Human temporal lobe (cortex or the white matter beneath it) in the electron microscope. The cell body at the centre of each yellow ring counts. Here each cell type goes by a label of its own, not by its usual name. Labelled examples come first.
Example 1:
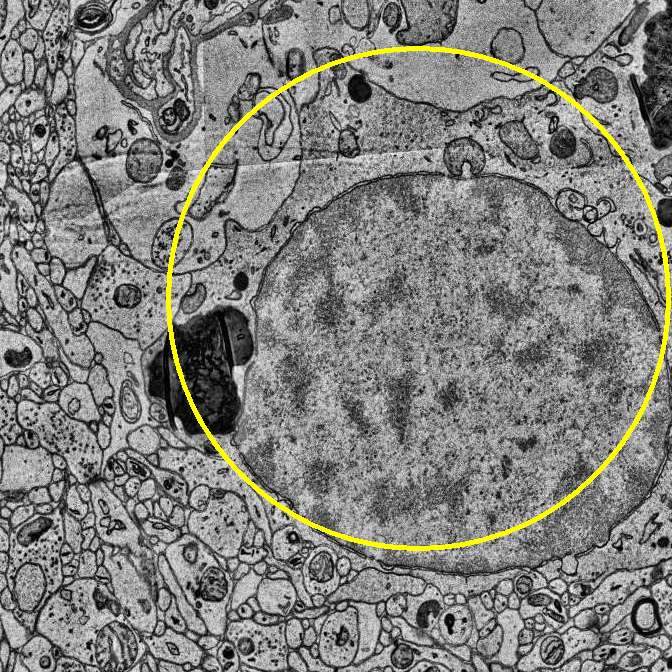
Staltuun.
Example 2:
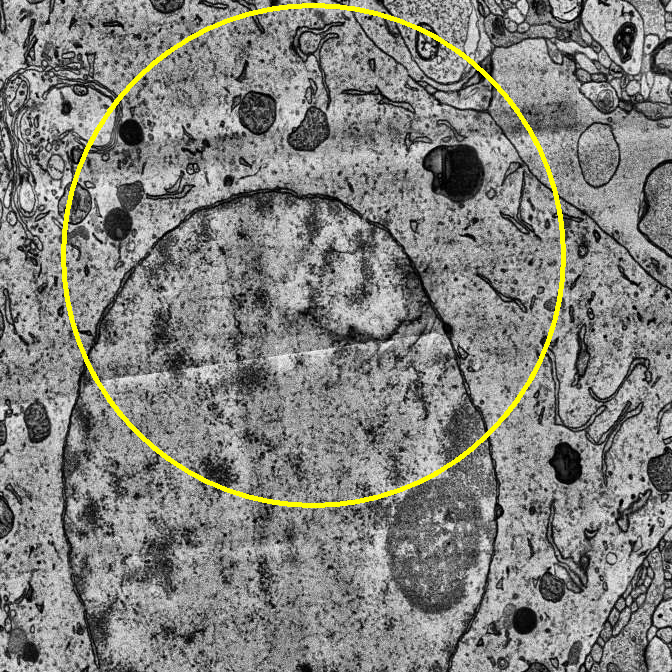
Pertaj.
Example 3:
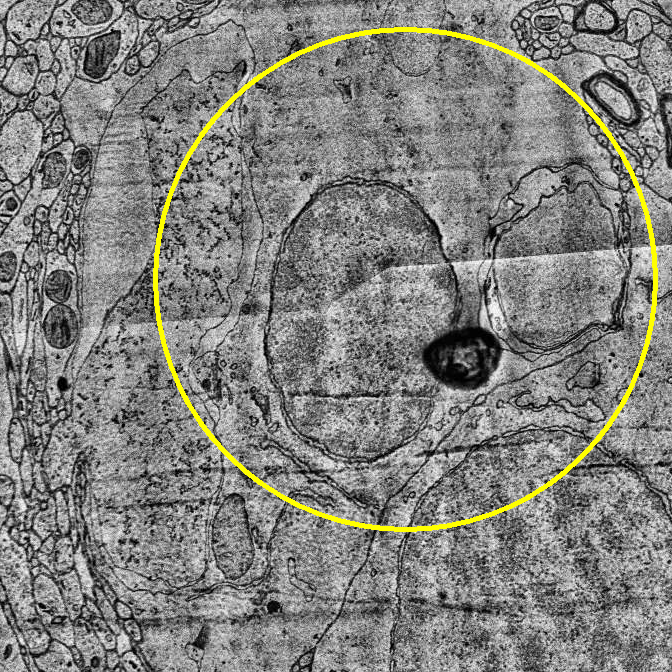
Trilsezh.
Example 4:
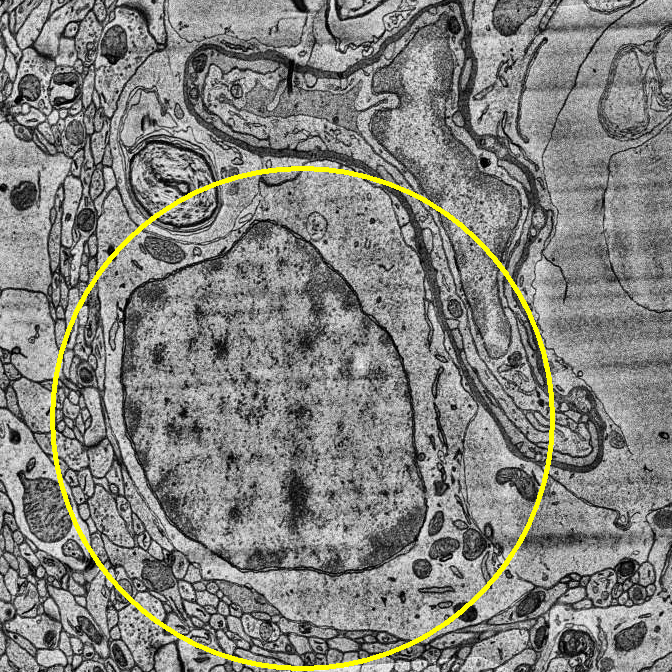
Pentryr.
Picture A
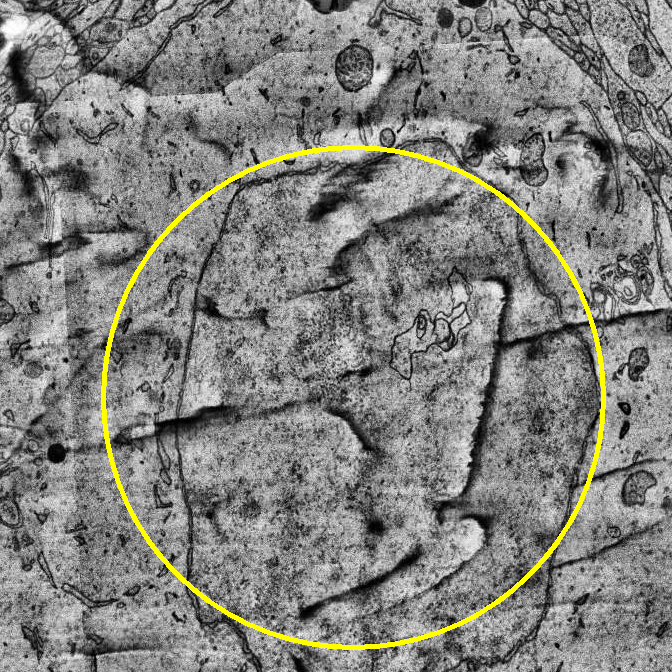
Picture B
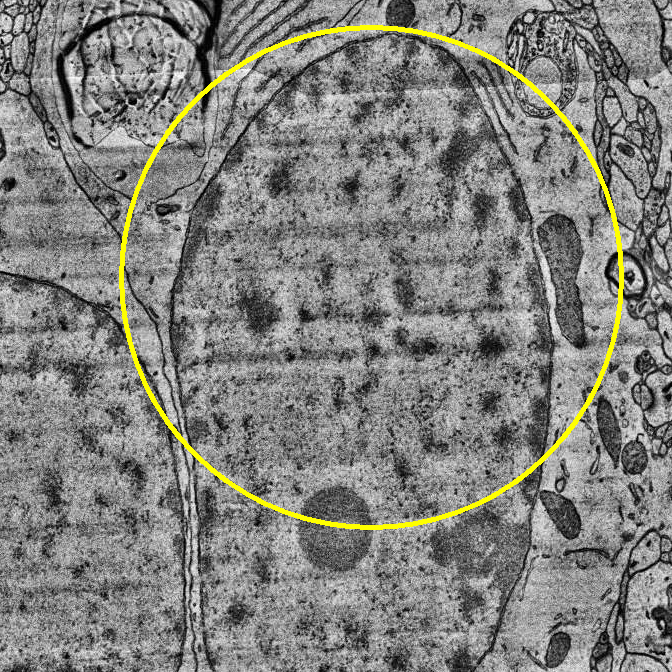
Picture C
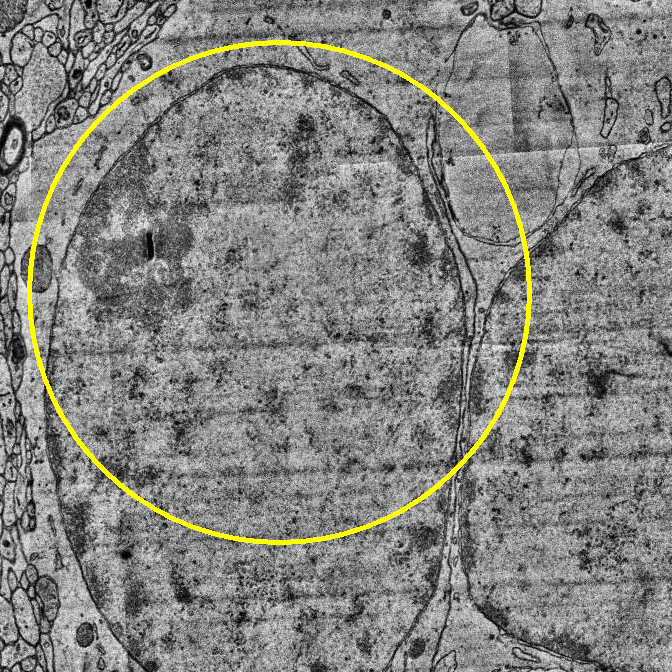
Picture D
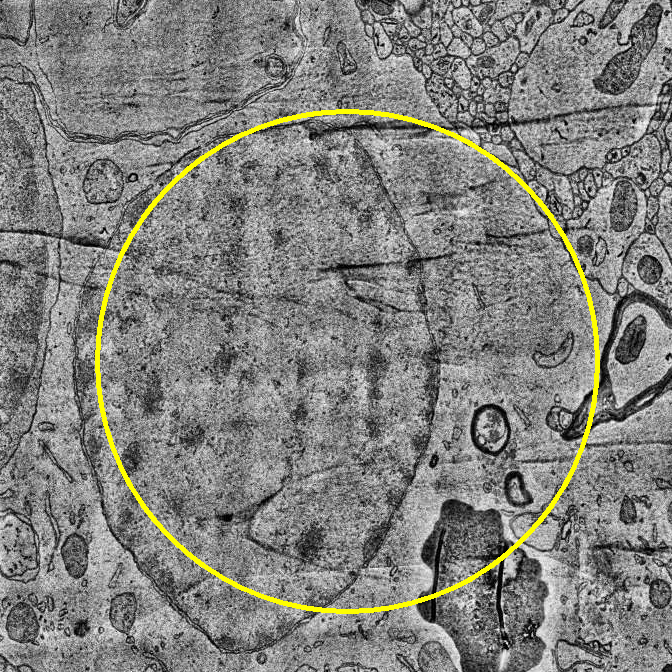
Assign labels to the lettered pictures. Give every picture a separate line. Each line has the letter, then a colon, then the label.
A: Pertaj.
B: Trilsezh.
C: Trilsezh.
D: Trilsezh.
